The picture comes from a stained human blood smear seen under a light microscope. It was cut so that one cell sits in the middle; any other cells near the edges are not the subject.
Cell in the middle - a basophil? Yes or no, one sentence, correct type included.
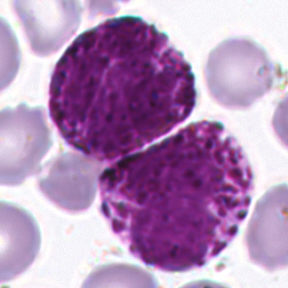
Yes, the middle cell of the field is a basophil.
